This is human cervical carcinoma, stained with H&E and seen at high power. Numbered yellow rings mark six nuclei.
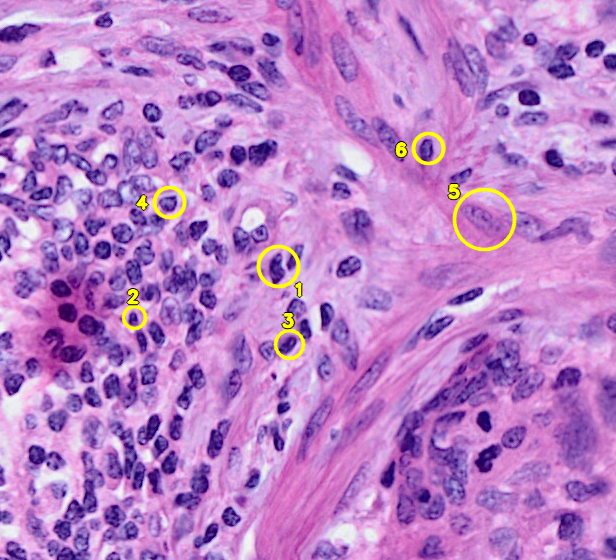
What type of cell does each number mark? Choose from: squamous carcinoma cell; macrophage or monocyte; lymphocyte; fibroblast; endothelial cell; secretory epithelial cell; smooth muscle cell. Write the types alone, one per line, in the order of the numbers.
lymphocyte
lymphocyte
lymphocyte
lymphocyte
smooth muscle cell
smooth muscle cell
